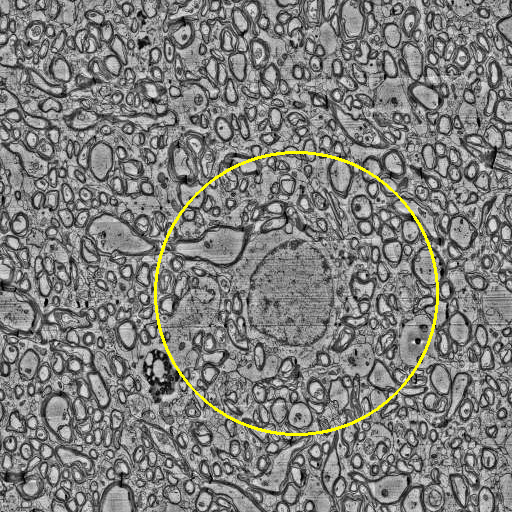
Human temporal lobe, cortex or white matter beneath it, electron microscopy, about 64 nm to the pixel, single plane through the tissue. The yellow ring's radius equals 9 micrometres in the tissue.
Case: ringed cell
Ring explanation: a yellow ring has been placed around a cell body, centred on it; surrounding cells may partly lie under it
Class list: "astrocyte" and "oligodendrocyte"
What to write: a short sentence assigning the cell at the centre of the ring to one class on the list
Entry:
The cell at the ring's centre is an astrocyte.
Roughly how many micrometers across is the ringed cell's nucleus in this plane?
Approximately 7 by 5 micrometers in this plane.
